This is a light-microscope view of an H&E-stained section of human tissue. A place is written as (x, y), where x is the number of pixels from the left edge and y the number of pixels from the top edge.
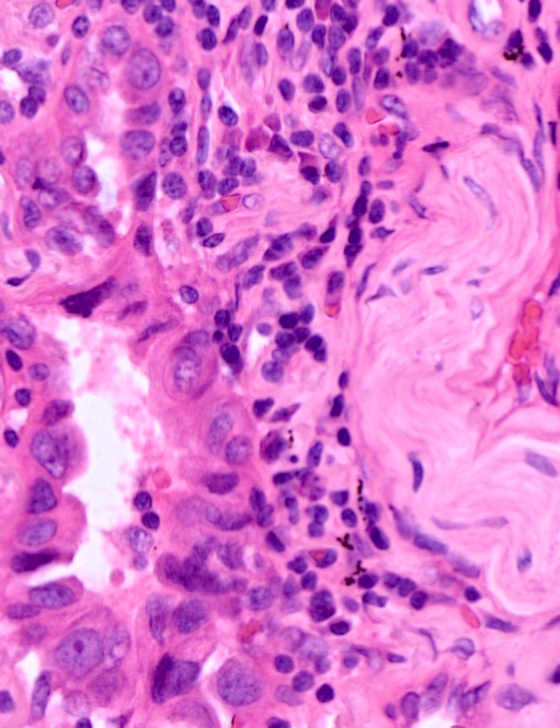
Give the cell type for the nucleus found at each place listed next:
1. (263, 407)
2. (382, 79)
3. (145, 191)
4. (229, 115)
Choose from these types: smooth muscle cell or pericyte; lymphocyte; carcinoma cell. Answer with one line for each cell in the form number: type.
1: lymphocyte
2: lymphocyte
3: carcinoma cell
4: lymphocyte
